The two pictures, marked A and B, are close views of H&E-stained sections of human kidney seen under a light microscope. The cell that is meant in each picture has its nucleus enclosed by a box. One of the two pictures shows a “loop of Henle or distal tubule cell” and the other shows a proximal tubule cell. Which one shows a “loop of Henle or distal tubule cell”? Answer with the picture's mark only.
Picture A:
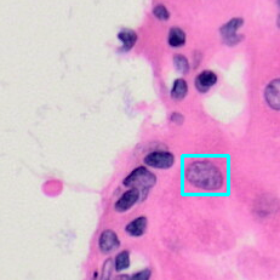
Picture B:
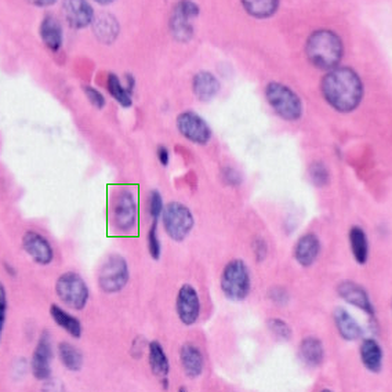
B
